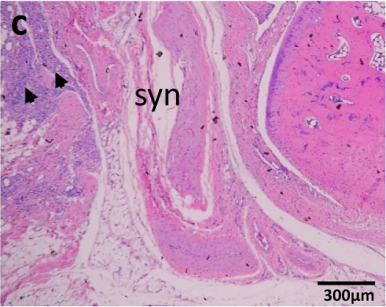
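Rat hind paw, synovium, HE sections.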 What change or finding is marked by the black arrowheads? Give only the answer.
Inflammatory cell infiltration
